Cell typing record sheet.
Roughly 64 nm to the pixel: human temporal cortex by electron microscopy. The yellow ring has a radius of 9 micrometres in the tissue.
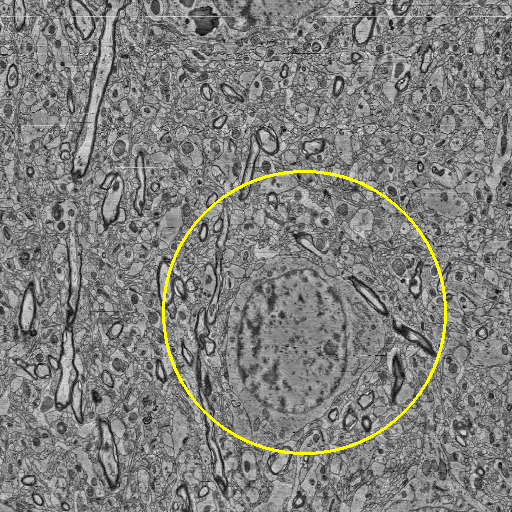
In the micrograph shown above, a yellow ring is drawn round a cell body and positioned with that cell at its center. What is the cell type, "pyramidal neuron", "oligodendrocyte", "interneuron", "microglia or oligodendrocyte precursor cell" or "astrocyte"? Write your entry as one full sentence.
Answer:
The cell body at the center of the ring belongs to an interneuron.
